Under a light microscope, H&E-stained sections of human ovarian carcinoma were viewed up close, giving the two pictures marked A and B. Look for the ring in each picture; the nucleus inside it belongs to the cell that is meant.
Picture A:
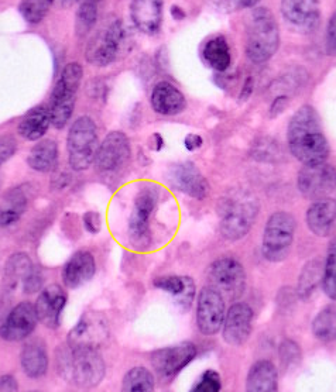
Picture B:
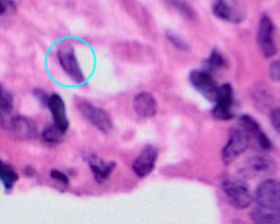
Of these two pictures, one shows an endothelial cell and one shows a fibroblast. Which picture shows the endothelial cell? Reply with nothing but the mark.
A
